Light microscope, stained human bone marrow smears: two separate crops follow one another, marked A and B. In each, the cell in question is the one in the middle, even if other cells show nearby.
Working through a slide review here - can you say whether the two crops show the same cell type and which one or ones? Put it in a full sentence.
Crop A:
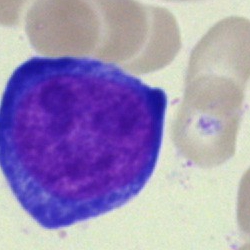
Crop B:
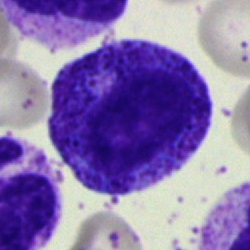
No, crop B shows a promyelocyte, and crop A shows a proerythroblast.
